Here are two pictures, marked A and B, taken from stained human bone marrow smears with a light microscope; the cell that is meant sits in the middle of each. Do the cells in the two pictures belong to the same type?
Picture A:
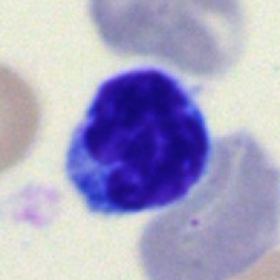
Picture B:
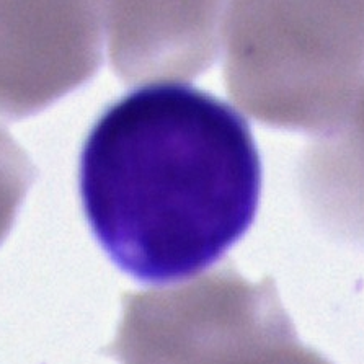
yes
